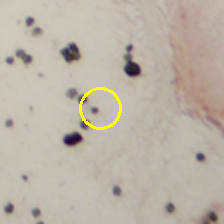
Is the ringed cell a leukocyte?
Yes, it is a leukocyte.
